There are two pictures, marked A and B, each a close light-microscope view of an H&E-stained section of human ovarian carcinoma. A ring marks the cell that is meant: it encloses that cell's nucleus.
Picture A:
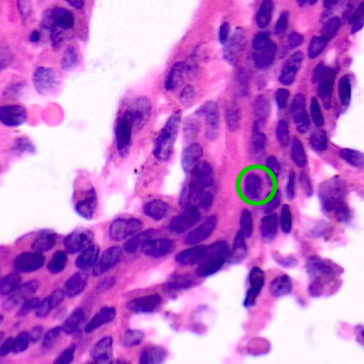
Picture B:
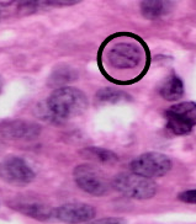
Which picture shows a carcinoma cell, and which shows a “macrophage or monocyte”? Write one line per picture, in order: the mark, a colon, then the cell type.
A: carcinoma cell
B: macrophage or monocyte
